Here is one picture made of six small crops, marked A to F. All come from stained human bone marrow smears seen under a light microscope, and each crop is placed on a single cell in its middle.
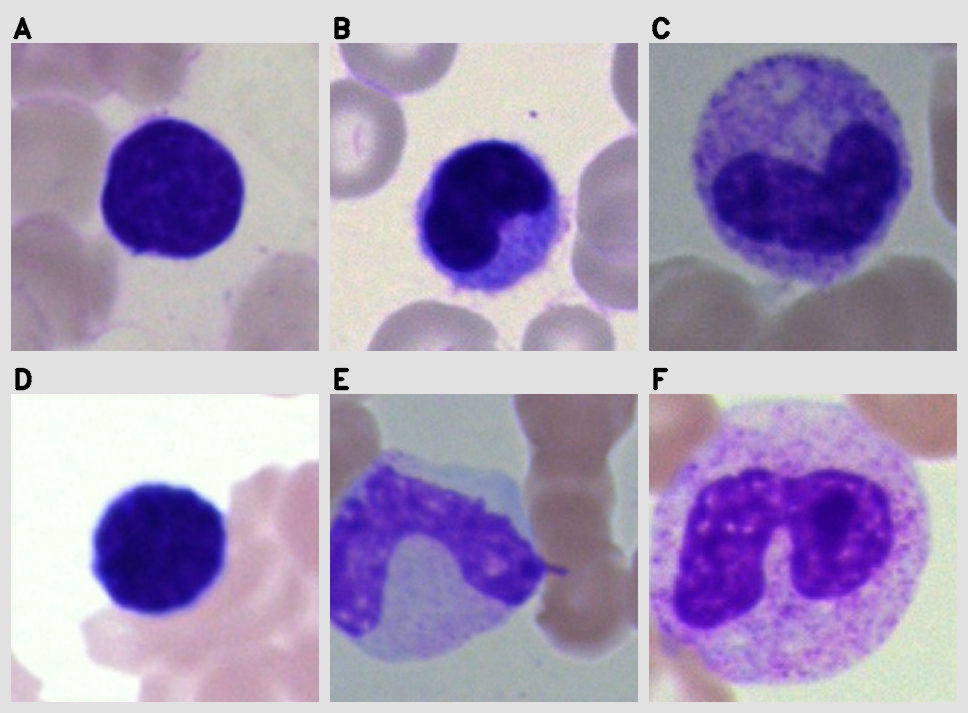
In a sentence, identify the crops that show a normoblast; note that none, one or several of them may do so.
No crop of the set centres on a normoblast.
